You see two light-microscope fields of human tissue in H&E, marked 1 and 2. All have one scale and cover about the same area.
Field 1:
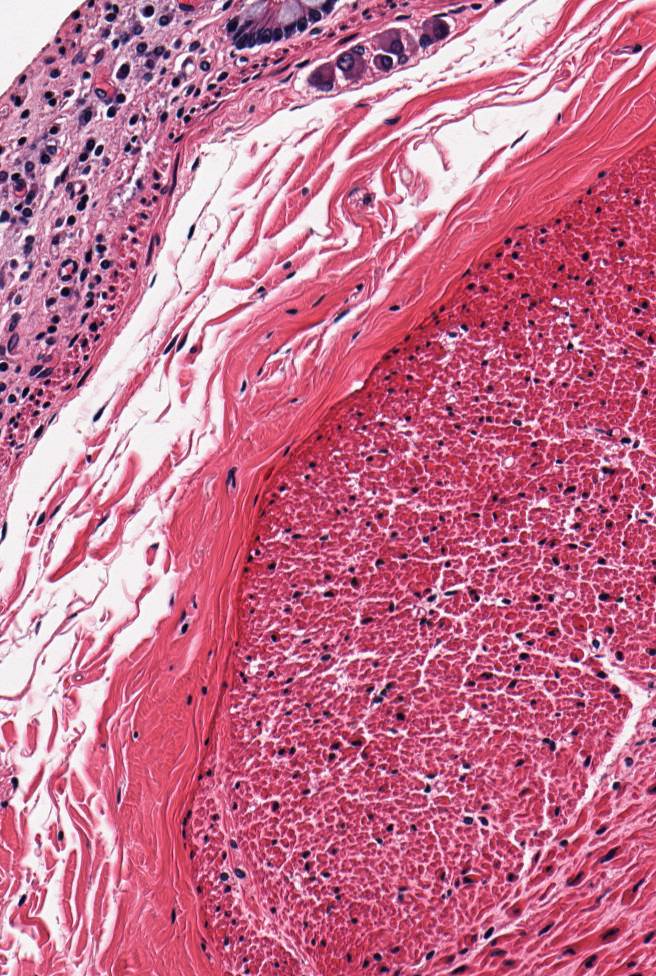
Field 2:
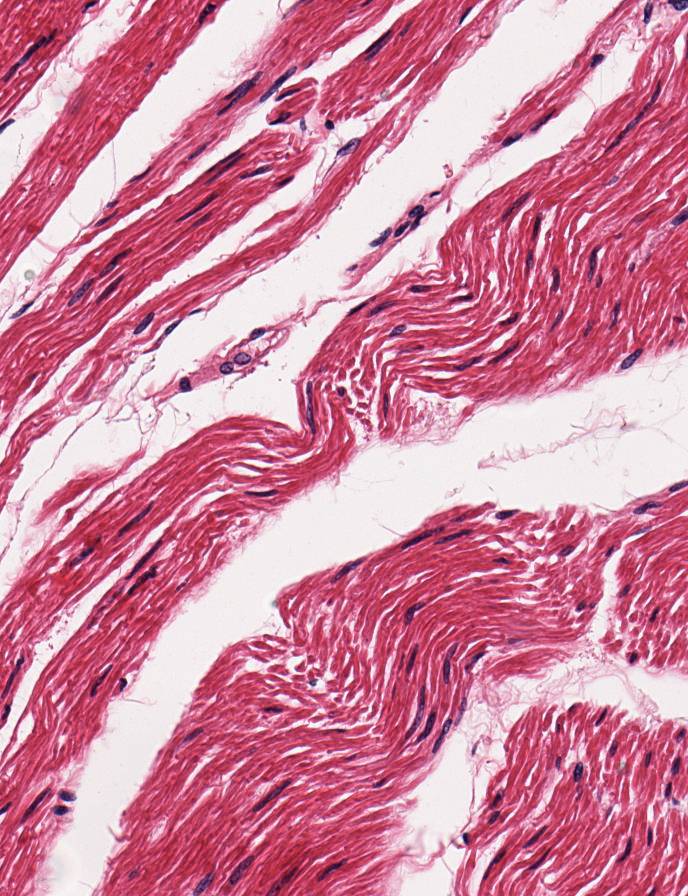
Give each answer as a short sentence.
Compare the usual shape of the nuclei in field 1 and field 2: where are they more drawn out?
Longer, more slender nuclei lie in field 2.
